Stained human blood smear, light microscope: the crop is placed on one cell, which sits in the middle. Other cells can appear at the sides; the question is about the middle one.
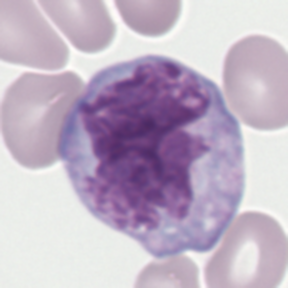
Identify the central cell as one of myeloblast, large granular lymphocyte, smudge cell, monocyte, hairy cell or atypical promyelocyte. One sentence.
The target cell in the middle of the crop is an atypical promyelocyte.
